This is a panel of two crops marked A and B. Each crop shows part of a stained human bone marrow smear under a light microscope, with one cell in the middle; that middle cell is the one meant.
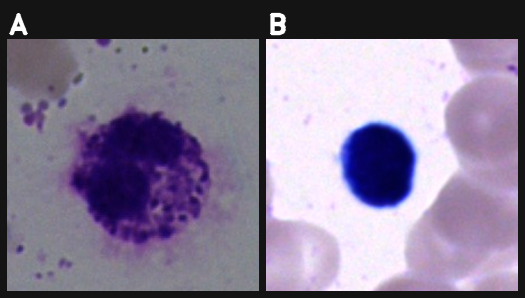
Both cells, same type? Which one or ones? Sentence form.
No, crop A depicts a basophil; crop B depicts a lymphocyte.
